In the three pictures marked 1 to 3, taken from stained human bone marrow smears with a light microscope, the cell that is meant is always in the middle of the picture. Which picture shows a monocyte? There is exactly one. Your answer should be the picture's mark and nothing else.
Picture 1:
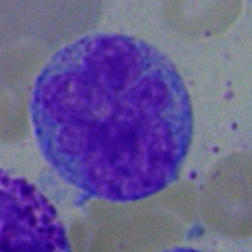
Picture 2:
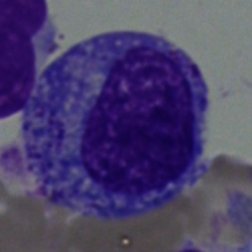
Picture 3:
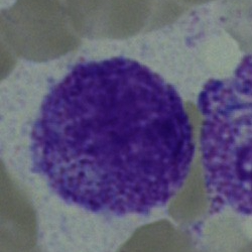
1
